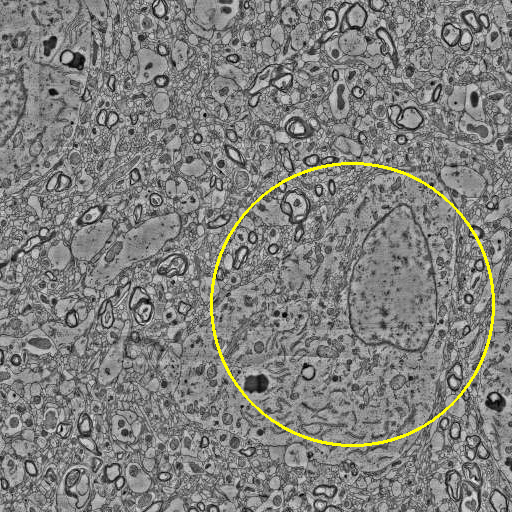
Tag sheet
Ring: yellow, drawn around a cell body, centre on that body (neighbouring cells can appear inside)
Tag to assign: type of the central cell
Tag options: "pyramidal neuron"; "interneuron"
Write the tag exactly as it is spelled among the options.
pyramidal neuron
